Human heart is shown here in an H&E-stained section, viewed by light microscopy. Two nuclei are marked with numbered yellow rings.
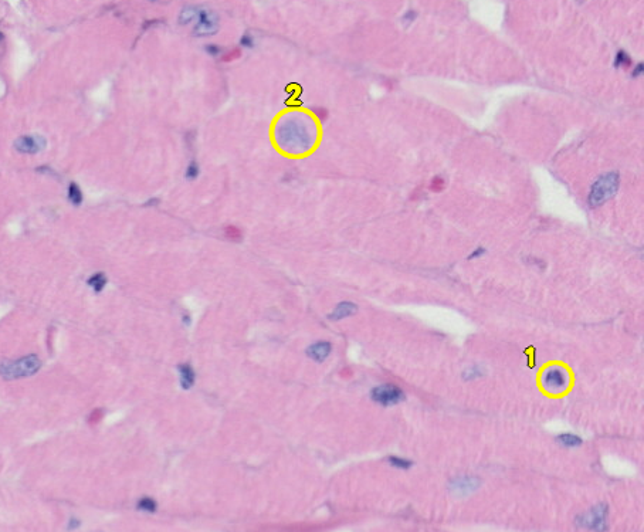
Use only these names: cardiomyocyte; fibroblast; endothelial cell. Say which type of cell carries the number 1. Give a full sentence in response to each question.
The cell identified by number 1 is an endothelial cell.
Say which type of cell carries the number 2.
Cell 2 should be recorded as a cardiomyocyte.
